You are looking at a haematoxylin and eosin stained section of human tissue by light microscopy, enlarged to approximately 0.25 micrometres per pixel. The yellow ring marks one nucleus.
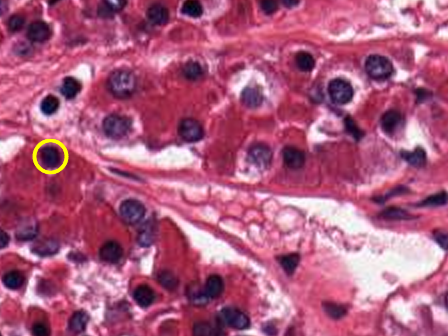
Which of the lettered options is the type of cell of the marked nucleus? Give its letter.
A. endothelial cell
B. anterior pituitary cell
B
